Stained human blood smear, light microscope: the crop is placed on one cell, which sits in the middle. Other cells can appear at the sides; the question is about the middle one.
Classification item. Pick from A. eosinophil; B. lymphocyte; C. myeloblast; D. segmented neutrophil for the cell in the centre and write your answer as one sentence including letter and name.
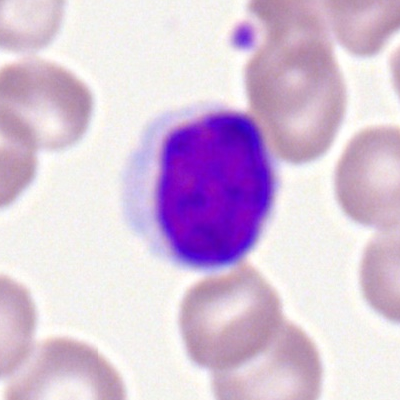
Since the cell in the centre is a lymphocyte, the correct option is B.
